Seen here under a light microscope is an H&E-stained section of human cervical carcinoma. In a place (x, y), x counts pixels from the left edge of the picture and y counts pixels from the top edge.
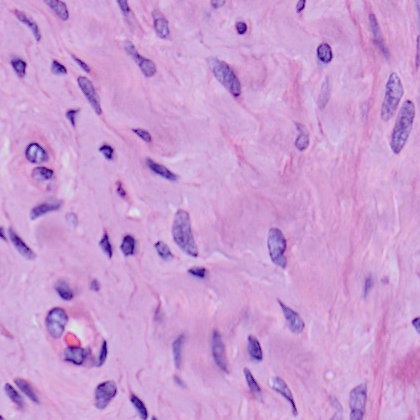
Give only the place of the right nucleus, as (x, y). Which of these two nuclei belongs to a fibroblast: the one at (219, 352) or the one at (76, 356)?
(219, 352)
